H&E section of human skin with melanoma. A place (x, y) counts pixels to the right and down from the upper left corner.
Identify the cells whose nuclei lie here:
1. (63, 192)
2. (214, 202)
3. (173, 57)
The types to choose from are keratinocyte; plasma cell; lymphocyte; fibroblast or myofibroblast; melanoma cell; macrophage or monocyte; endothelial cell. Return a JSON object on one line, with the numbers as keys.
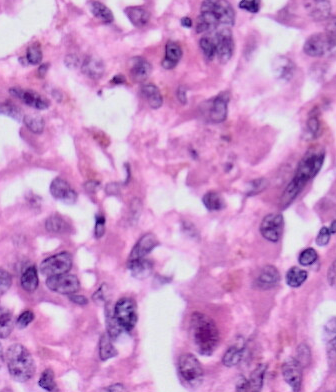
{"1": "melanoma cell", "2": "melanoma cell", "3": "macrophage or monocyte"}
